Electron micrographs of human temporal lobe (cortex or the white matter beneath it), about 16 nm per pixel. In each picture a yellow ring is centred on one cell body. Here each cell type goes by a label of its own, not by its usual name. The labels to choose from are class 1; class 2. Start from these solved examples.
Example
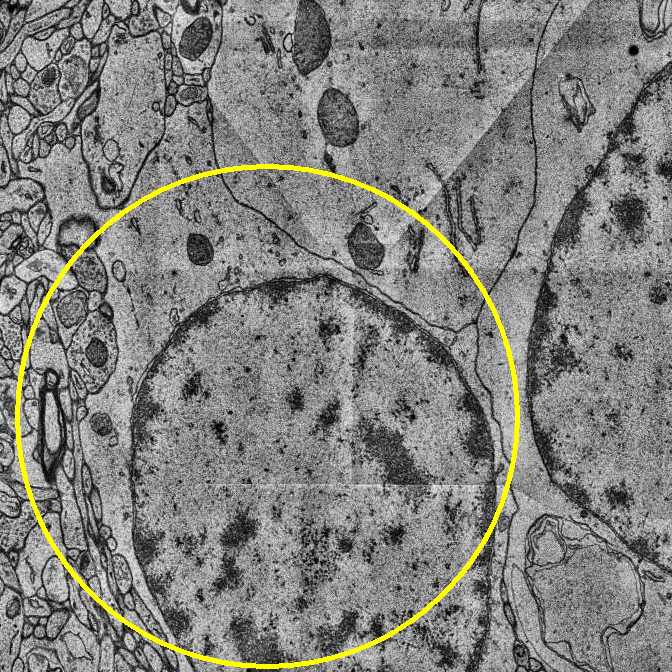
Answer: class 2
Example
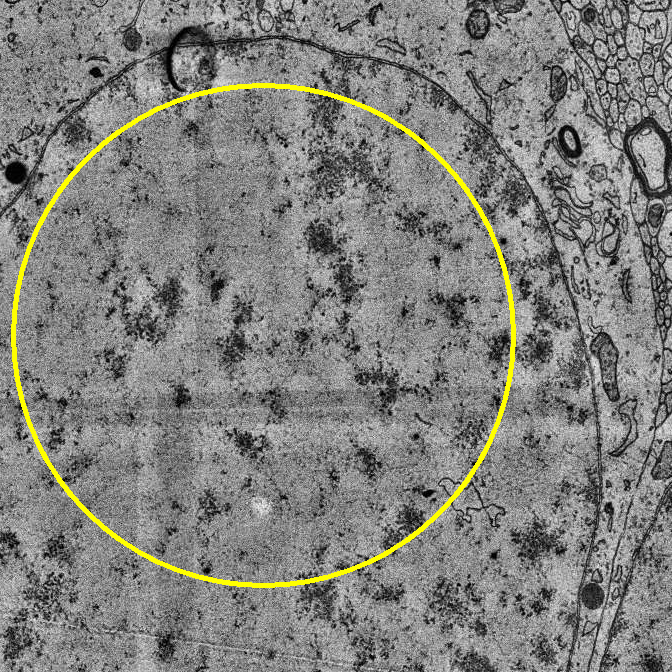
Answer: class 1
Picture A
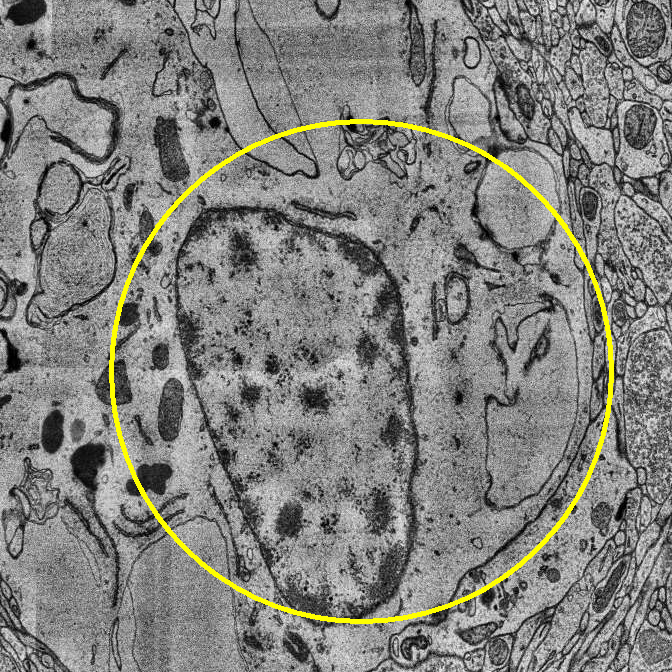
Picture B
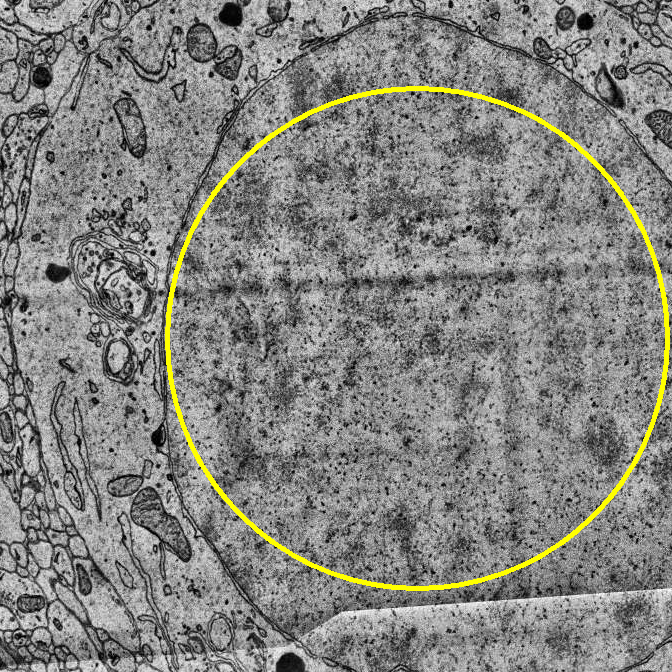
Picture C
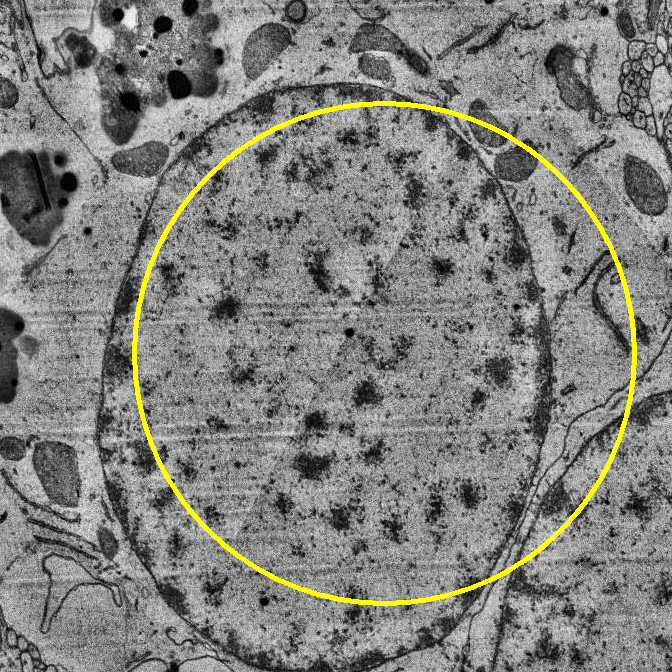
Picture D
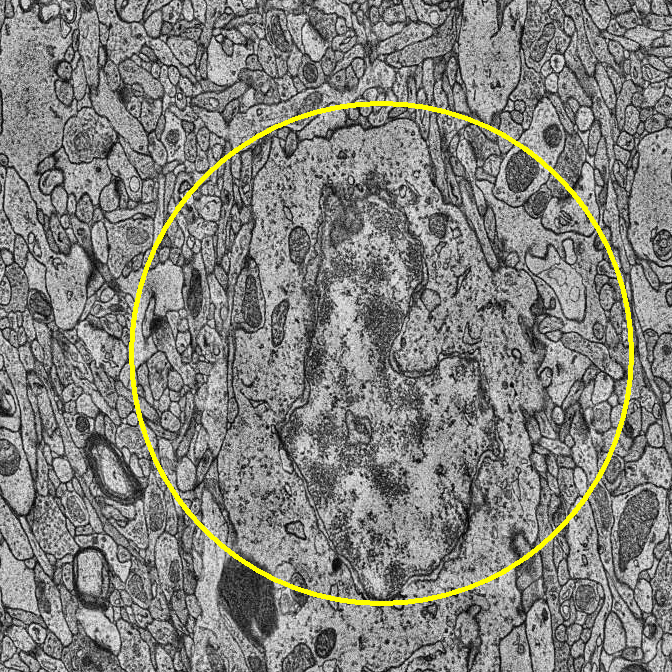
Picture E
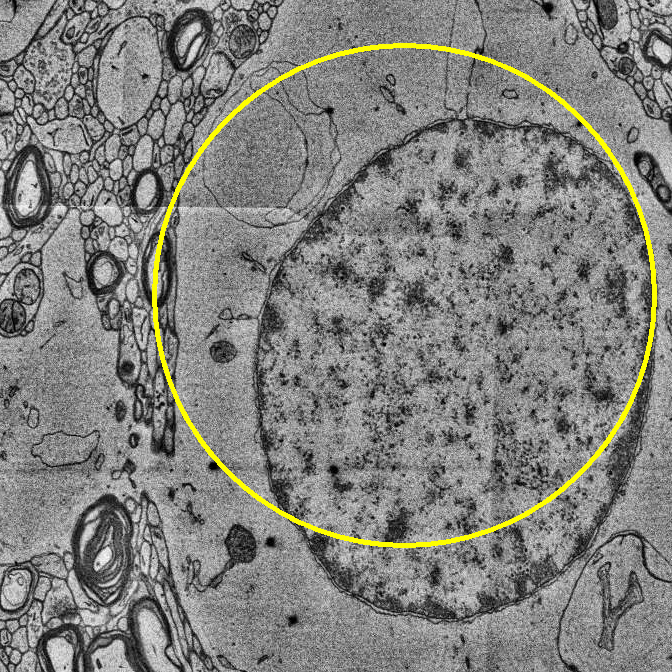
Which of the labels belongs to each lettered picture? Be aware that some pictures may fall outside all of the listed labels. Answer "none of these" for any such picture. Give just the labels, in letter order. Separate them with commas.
class 2, none of these, class 2, none of these, class 2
